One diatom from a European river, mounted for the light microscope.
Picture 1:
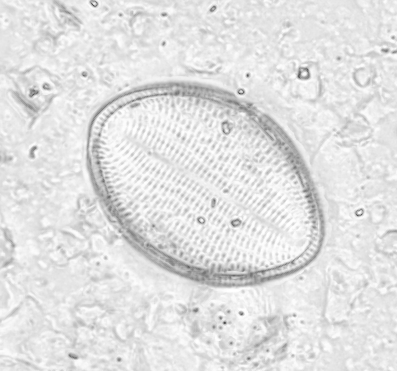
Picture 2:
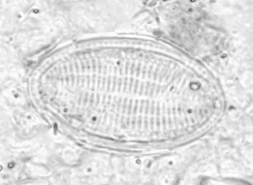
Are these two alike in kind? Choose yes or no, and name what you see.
Yes. Cocconeis.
